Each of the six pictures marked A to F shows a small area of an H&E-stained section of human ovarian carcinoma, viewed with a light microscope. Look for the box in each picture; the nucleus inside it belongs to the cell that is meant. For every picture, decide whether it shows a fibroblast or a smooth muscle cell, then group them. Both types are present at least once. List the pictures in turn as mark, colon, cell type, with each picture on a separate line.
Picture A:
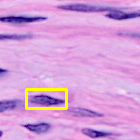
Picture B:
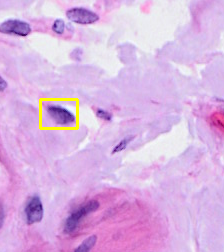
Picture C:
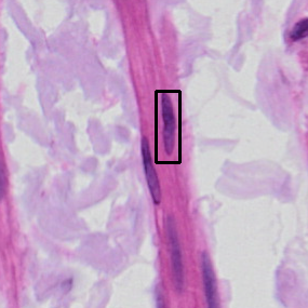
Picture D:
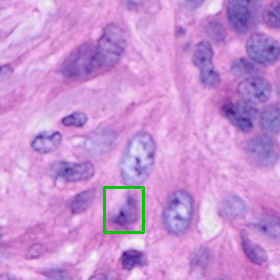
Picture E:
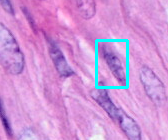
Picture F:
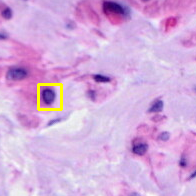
A: smooth muscle cell
B: fibroblast
C: smooth muscle cell
D: fibroblast
E: fibroblast
F: smooth muscle cell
